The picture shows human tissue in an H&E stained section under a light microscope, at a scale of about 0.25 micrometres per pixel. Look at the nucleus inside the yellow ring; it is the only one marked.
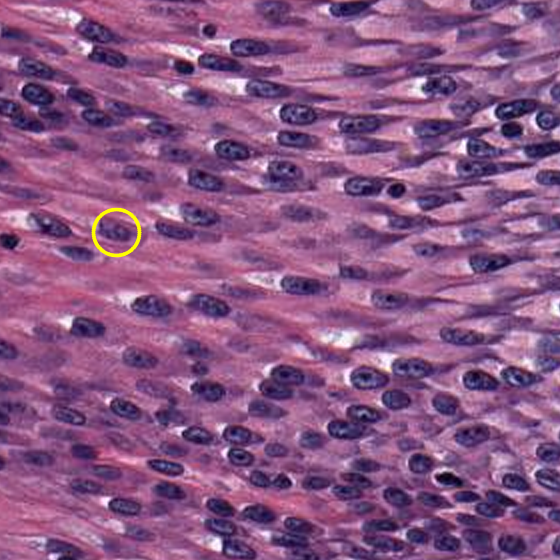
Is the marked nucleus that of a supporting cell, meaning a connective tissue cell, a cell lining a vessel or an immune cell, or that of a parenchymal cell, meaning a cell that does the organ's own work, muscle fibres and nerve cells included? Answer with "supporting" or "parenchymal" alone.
parenchymal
